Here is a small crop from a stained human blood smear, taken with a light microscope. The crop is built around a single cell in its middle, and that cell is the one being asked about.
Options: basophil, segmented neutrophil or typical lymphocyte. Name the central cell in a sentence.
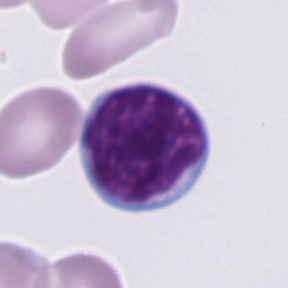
This crop is built around a typical lymphocyte at its centre.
